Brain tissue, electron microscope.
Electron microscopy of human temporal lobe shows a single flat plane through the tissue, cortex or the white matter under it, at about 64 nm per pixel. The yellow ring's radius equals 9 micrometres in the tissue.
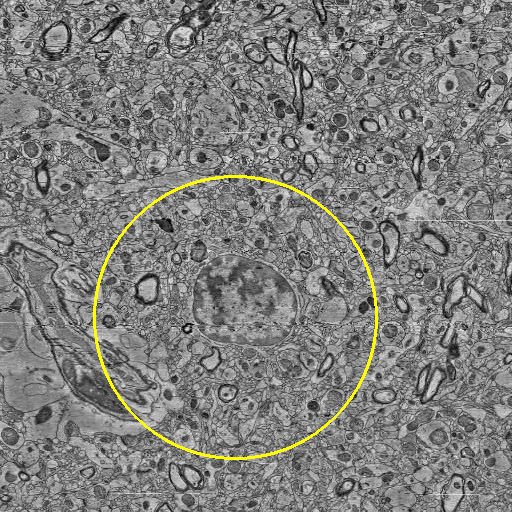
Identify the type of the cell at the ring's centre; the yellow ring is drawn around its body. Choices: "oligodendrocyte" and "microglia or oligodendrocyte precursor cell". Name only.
microglia or oligodendrocyte precursor cell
